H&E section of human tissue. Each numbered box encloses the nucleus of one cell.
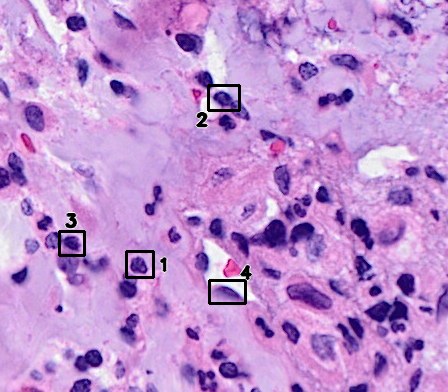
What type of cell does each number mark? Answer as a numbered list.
1. lymphocyte
2. lymphocyte
3. lymphocyte
4. endothelial cell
